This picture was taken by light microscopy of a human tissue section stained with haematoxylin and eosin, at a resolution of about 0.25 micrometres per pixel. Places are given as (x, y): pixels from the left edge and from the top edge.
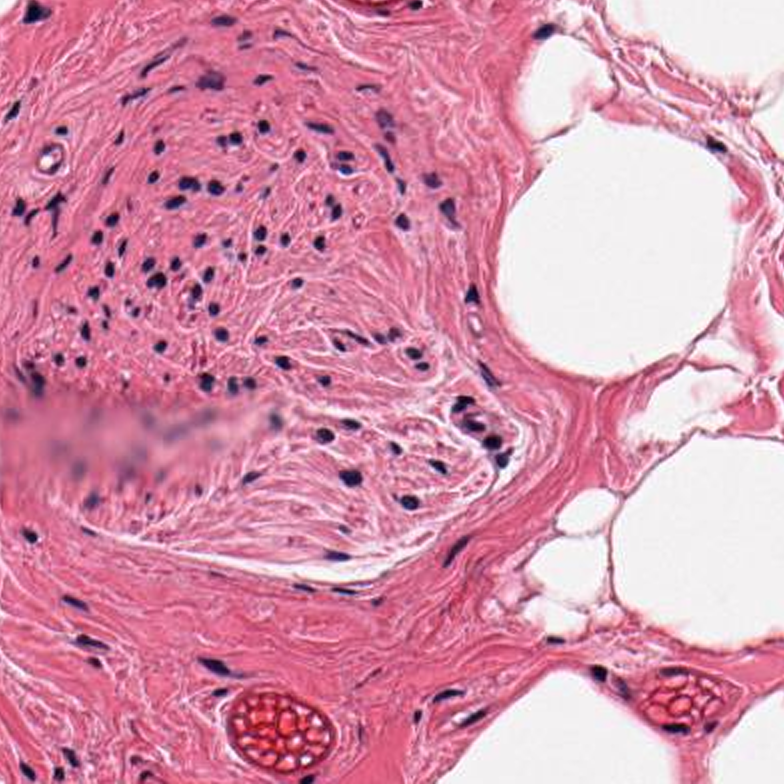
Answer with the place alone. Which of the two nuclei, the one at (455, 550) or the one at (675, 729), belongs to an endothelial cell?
(675, 729)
